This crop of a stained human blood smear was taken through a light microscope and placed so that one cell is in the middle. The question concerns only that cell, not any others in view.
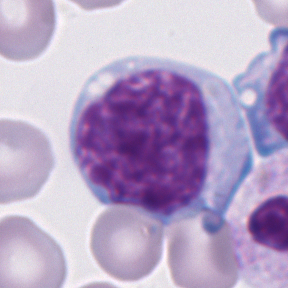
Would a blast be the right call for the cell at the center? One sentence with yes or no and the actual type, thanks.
Yes, in the middle of the crop is a blast.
